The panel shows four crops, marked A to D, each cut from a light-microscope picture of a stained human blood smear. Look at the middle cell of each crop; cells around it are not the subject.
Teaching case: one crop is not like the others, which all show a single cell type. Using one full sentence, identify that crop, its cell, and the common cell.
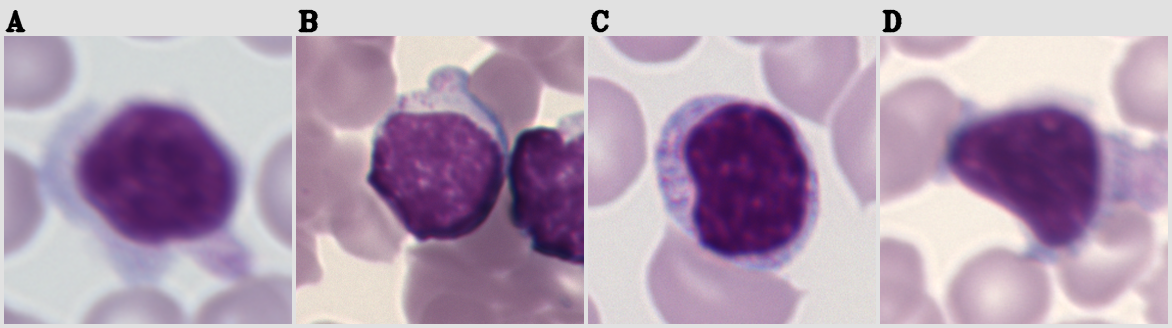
Crop B shows a large granular lymphocyte, while all of the others show typical lymphocytes.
